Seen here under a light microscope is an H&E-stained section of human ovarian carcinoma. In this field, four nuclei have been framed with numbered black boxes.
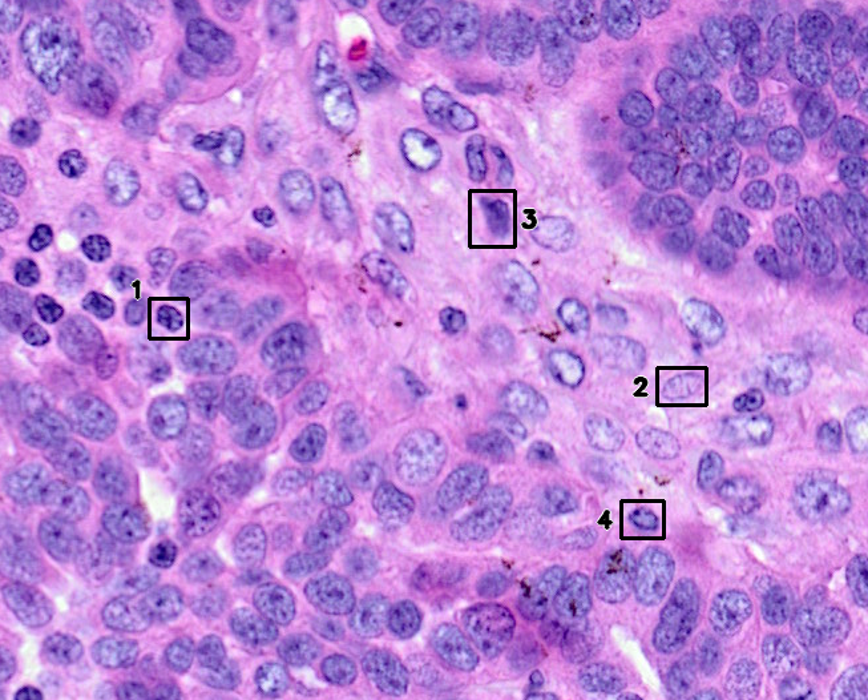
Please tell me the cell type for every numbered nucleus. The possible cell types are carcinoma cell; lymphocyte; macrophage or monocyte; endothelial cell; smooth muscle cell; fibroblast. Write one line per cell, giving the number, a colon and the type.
1: lymphocyte
2: fibroblast
3: macrophage or monocyte
4: macrophage or monocyte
